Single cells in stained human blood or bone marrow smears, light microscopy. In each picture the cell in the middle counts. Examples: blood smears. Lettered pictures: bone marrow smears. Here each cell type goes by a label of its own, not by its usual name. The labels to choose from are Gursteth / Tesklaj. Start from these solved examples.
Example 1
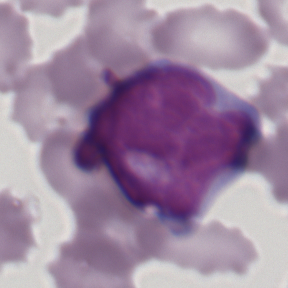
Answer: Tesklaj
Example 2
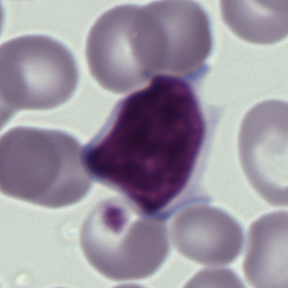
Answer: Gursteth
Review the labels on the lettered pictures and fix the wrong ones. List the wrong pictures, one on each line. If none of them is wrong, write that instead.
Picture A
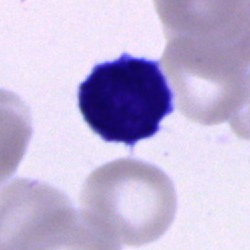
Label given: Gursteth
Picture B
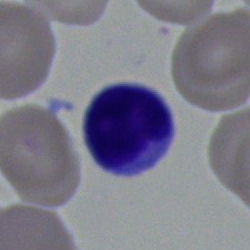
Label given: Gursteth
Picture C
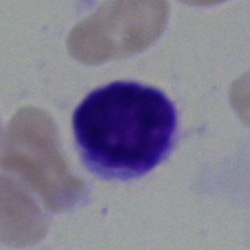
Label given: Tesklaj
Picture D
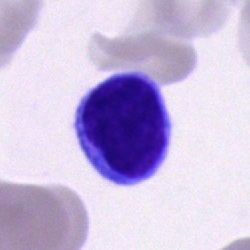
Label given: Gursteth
Wrong: C (Tesklaj); correct: Gursteth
